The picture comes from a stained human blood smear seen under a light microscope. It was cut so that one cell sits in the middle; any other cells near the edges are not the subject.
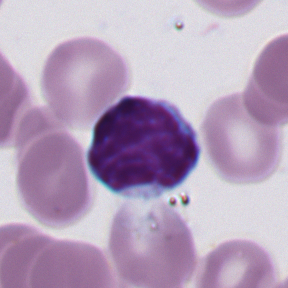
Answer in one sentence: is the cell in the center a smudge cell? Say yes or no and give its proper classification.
No, the central cell is not a smudge cell; it is a typical lymphocyte.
